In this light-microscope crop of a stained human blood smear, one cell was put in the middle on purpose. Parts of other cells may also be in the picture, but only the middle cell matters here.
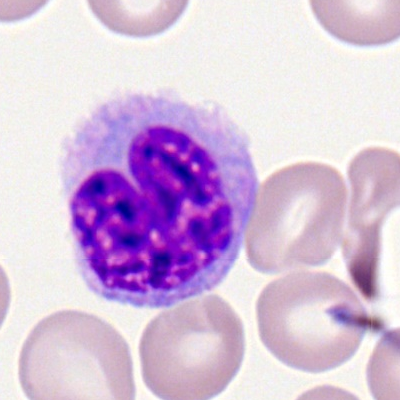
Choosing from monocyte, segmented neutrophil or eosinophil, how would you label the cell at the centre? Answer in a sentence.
The middle cell in this particular crop is a monocyte.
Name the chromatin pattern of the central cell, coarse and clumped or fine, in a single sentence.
Here the nuclear chromatin is coarsely clumped.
